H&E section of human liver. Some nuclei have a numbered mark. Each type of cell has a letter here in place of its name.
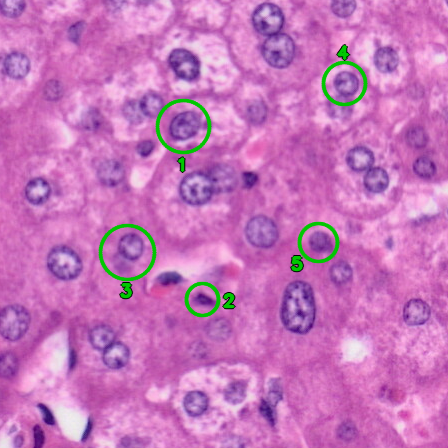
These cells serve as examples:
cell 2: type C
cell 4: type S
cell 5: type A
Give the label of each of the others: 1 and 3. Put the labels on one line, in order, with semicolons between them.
type S; type S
